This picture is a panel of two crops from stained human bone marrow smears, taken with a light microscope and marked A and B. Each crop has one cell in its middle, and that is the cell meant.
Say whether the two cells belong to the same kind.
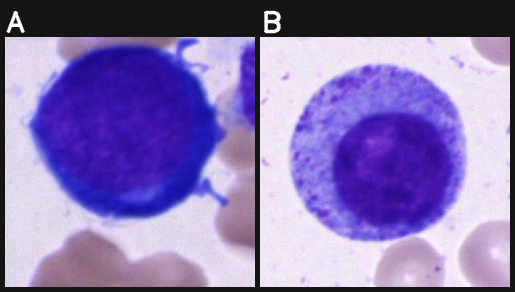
no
